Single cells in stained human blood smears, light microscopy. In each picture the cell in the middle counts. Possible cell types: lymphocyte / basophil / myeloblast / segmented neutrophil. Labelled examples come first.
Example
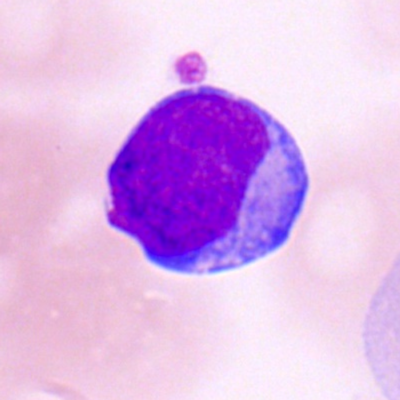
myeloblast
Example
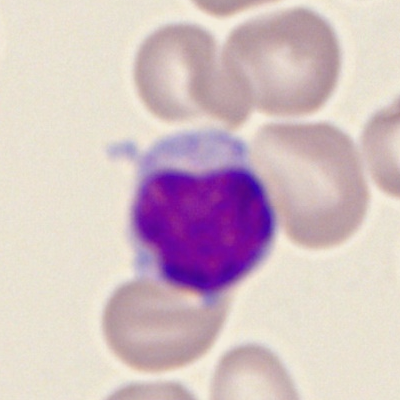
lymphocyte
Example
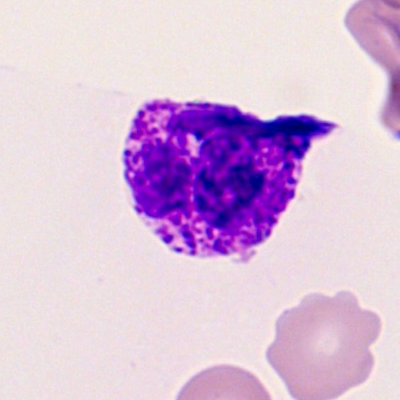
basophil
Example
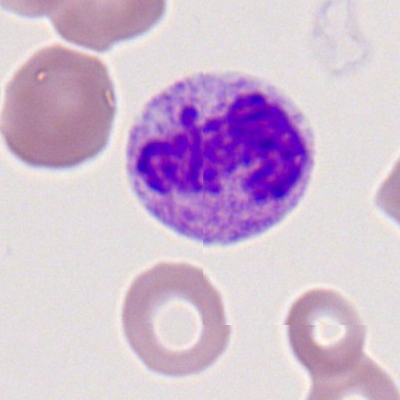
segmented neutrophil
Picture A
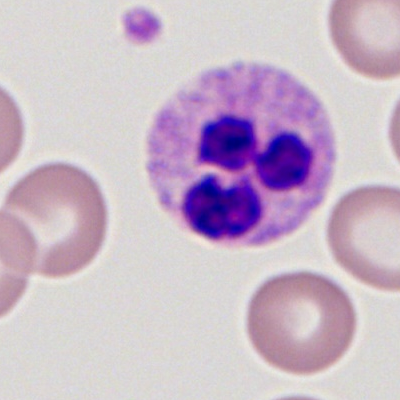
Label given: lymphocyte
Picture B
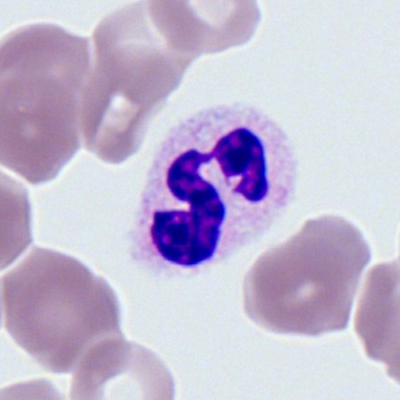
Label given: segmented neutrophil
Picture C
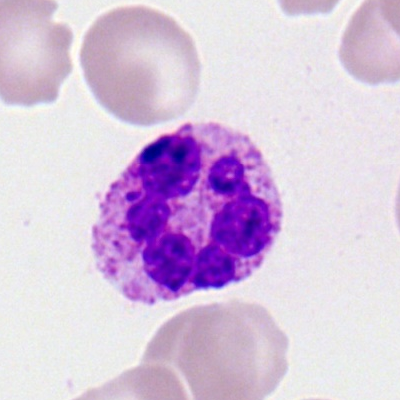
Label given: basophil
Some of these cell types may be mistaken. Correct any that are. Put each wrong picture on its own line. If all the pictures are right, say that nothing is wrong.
A: change lymphocyte to segmented neutrophil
